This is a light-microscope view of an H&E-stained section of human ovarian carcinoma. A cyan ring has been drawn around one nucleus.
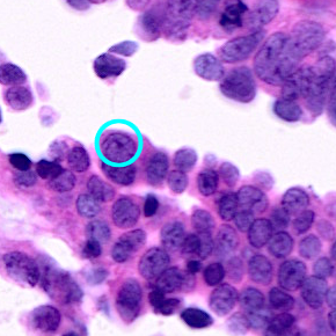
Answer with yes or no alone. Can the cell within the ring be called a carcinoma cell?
yes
